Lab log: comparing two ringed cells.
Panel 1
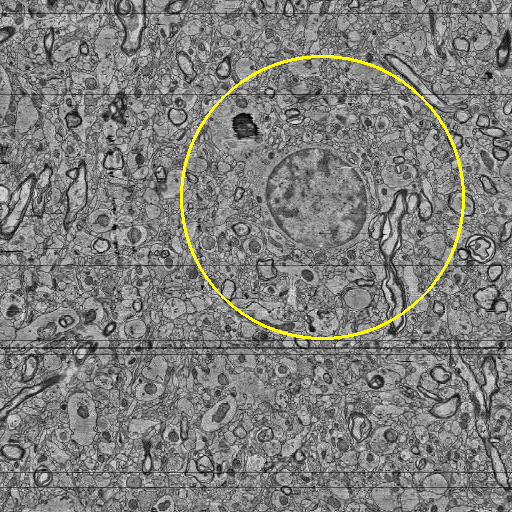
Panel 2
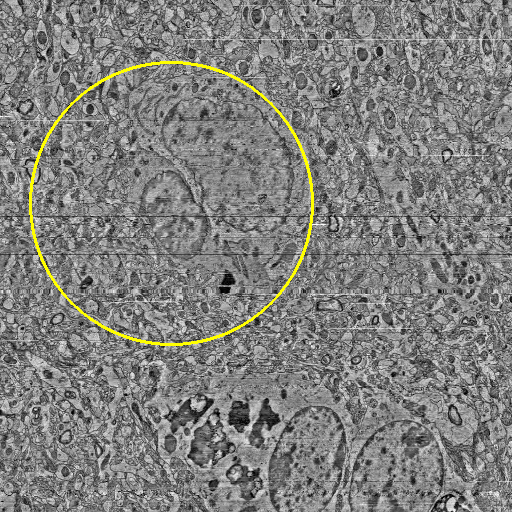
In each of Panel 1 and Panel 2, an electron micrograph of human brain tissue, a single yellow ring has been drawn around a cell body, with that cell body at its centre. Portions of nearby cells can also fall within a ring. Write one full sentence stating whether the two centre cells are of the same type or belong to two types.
The cells at the ring centres in Panel 1 and Panel 2 are of the same type.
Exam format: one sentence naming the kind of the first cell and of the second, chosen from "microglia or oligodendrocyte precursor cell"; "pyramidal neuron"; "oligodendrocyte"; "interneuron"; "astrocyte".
In each picture the ringed cell is an oligodendrocyte.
